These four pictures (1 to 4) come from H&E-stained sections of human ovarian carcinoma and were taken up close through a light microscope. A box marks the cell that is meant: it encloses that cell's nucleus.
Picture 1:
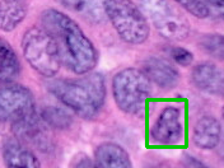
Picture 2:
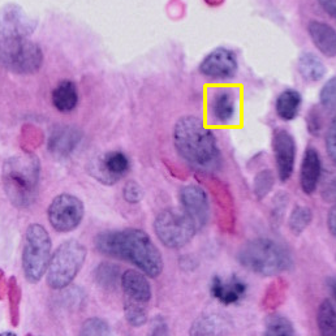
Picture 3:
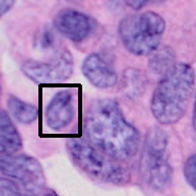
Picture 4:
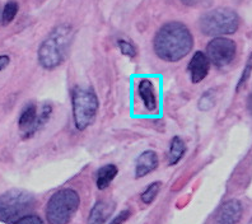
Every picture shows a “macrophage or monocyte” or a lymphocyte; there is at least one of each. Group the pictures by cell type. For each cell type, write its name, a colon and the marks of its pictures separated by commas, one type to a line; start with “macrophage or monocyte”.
macrophage or monocyte: 1, 3
lymphocyte: 2, 4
